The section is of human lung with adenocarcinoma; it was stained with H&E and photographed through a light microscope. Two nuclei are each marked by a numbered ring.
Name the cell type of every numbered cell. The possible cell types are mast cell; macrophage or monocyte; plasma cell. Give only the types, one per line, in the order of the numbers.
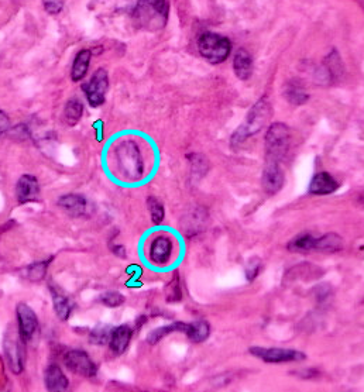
macrophage or monocyte
mast cell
